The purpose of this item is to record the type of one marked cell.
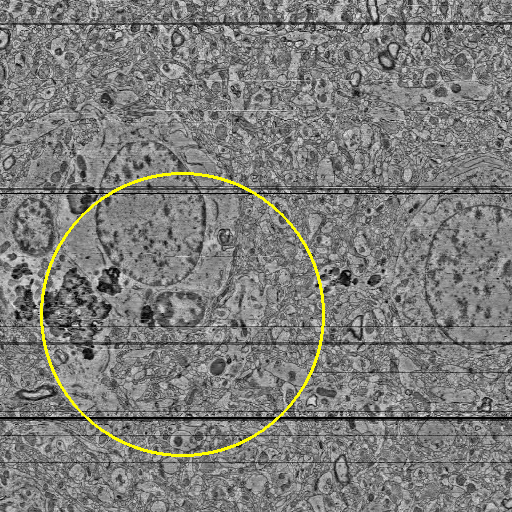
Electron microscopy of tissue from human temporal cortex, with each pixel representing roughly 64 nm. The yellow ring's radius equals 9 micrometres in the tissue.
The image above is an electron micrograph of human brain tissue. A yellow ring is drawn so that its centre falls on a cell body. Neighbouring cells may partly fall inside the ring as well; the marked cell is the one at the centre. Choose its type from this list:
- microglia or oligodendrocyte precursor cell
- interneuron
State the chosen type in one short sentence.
What the ring marks here is a microglial cell or oligodendrocyte precursor cell.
